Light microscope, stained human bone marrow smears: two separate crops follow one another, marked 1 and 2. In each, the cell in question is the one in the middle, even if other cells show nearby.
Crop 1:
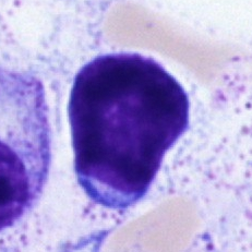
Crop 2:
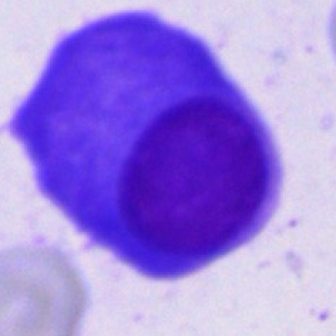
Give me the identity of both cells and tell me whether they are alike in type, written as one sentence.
No, in crop 1 the cell is a lymphocyte, and in crop 2 it is a plasma cell.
